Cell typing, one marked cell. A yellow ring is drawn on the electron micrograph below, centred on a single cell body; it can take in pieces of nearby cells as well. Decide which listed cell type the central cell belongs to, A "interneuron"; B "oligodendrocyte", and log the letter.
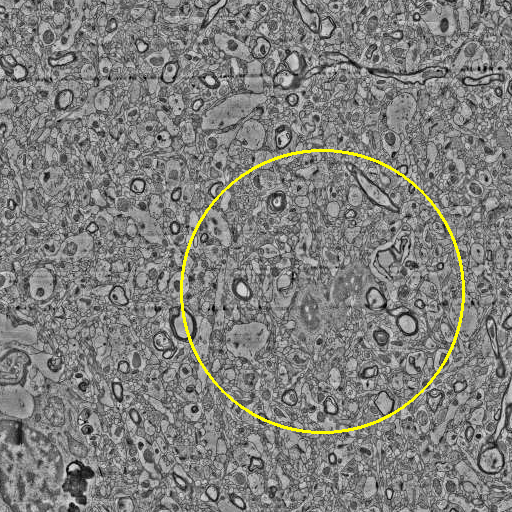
B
